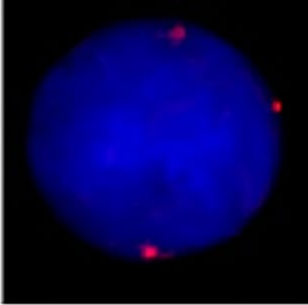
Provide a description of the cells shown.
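The nucleus is nearly circular with a smooth border and even, finely mottled blue chromatin. Just three small red foci are visible, all lying at or near the rim of the nucleus, at the top, the right edge and the bottom. The interior of the nucleus is otherwise free of red spots.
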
